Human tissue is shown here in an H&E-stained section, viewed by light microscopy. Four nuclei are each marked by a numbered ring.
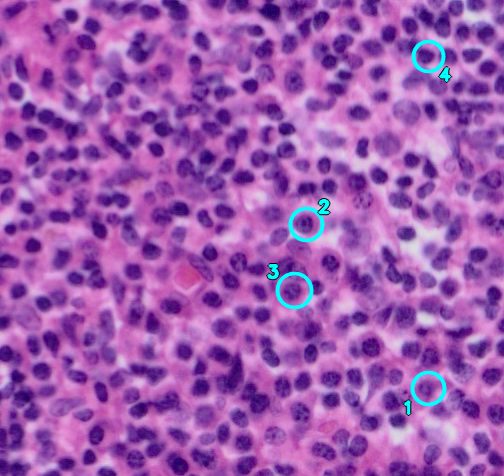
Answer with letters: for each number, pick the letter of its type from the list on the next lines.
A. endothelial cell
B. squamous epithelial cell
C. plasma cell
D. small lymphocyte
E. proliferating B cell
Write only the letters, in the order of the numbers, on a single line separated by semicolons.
C; C; C; D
